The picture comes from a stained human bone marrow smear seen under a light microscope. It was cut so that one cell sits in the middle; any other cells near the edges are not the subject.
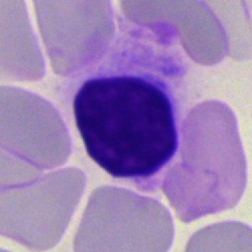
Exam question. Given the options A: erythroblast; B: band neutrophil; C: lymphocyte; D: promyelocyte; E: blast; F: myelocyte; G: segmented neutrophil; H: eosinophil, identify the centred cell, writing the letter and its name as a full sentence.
The cell in the middle is correctly identified as a lymphocyte in option C.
